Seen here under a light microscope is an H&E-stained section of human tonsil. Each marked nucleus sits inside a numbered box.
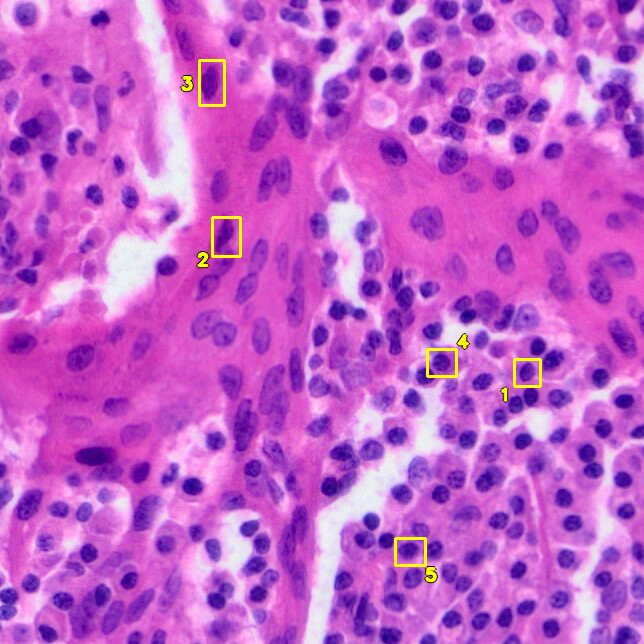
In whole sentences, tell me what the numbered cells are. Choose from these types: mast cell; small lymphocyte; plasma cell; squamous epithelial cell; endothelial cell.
Cell 1 is a plasma cell, cell 2 is a squamous epithelial cell, cell 3 is a squamous epithelial cell, cell 4 is a plasma cell and cell 5 is a plasma cell.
